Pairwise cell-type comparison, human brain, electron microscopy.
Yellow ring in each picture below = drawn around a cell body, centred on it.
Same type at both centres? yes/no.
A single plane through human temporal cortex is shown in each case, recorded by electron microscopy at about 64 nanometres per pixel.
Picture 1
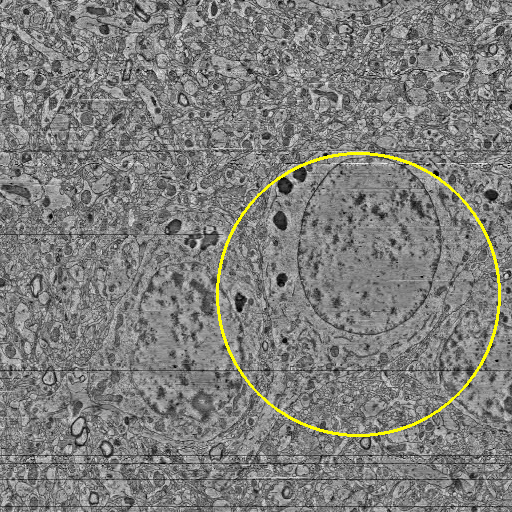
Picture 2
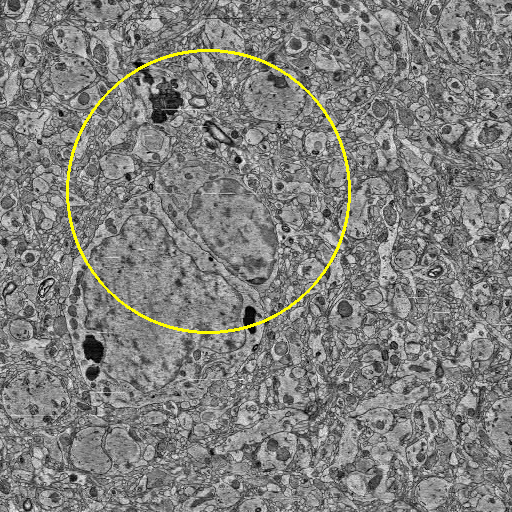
no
